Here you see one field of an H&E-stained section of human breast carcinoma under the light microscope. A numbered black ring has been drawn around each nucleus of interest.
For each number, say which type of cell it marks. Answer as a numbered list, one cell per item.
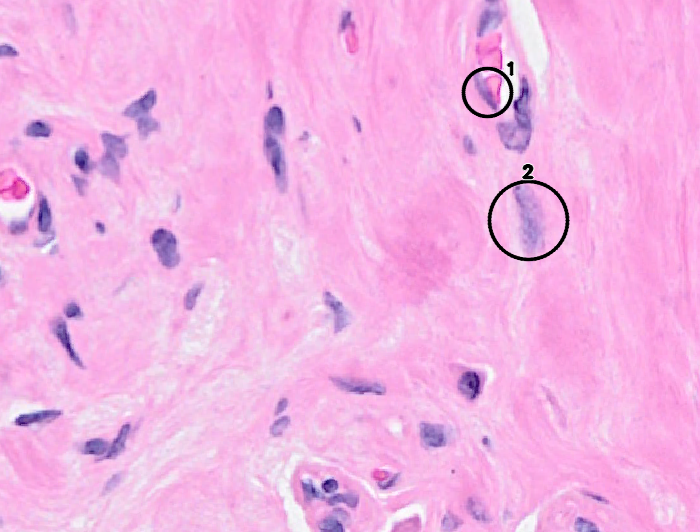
1. endothelial cell
2. fibroblast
